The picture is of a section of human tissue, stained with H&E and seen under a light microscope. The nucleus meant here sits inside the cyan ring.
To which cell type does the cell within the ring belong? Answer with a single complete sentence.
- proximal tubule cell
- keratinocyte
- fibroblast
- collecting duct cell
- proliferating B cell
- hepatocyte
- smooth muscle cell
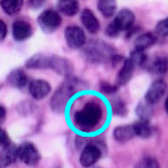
Considered by cell type, the cell within the ring is a proliferating B cell.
